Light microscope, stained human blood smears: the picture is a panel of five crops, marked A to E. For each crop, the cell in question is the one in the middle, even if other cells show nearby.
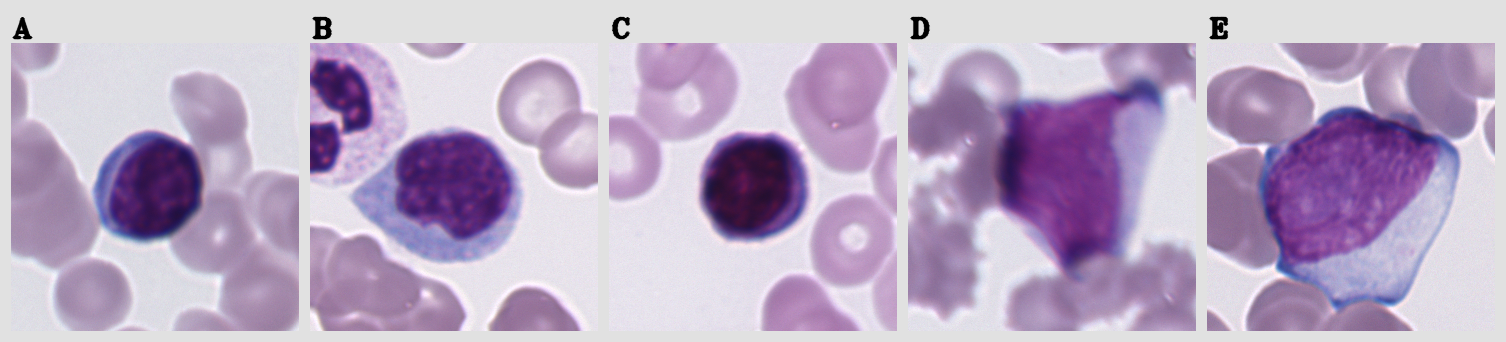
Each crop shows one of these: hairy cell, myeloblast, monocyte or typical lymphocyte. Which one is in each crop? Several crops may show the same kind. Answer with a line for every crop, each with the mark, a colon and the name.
A: typical lymphocyte
B: monocyte
C: typical lymphocyte
D: myeloblast
E: myeloblast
